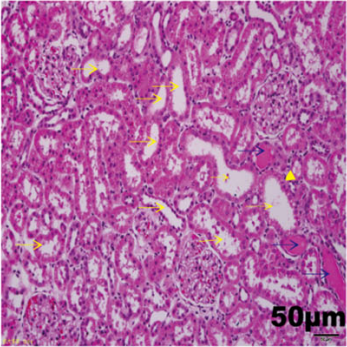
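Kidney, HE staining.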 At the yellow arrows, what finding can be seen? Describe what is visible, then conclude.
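The arrows point into tubules with wide, pale, empty lumens. The epithelium lining these tubules looks flattened, with a smooth luminal edge. So: brush border detachment and absence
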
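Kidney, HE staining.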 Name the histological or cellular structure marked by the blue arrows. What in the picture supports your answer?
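Protein casts. The arrows point to homogeneous pink material inside tubular lumens.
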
